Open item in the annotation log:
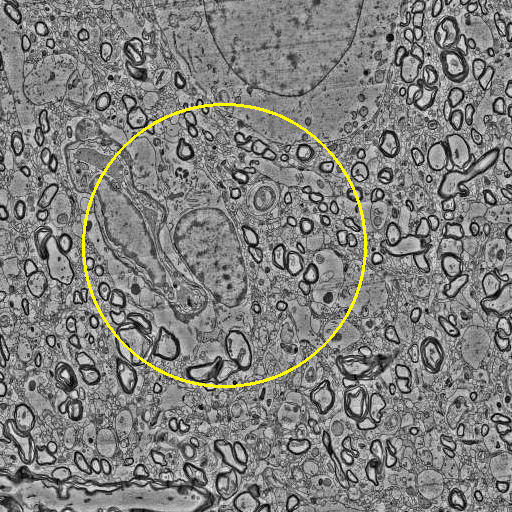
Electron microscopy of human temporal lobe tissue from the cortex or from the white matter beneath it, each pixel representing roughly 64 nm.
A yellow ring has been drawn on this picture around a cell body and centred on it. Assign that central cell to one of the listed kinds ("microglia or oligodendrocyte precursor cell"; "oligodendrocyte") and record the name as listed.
microglia or oligodendrocyte precursor cell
